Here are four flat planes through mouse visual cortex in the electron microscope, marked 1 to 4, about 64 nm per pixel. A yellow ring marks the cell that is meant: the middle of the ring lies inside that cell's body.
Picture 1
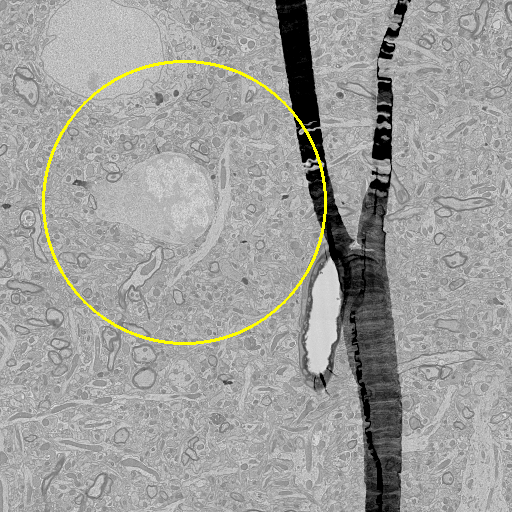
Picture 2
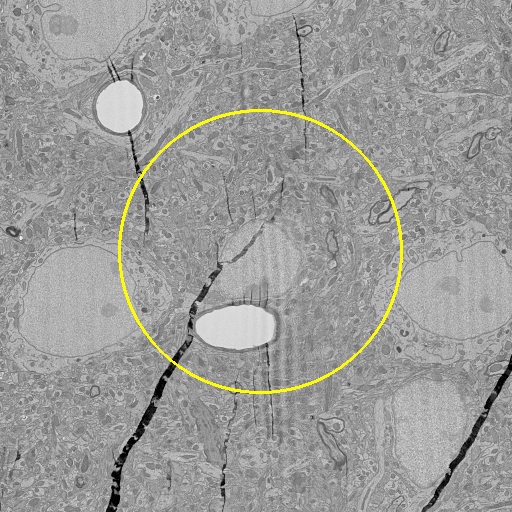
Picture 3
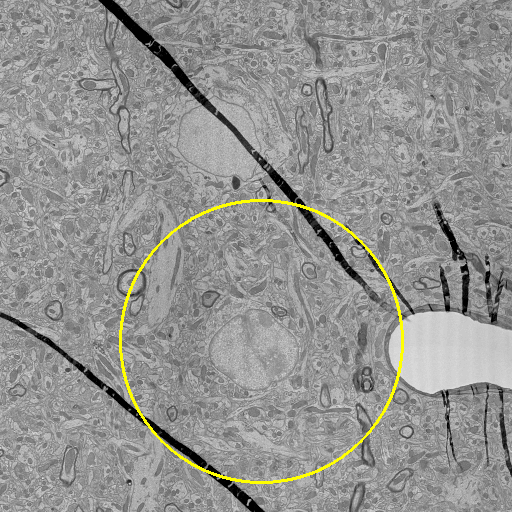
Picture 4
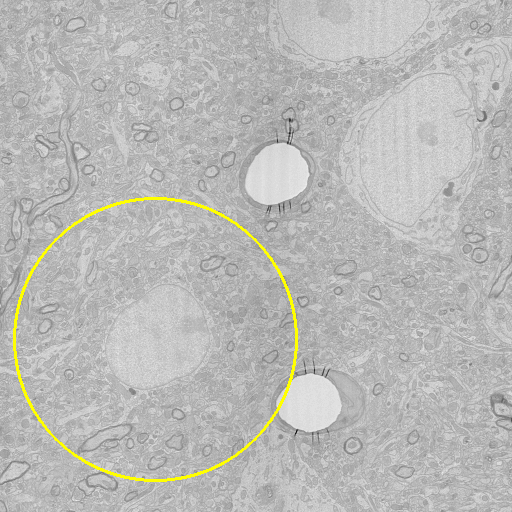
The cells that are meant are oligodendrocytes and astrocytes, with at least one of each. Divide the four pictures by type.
Picture 1 shows an oligodendrocyte, and pictures 2, 3 and 4 show astrocytes.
